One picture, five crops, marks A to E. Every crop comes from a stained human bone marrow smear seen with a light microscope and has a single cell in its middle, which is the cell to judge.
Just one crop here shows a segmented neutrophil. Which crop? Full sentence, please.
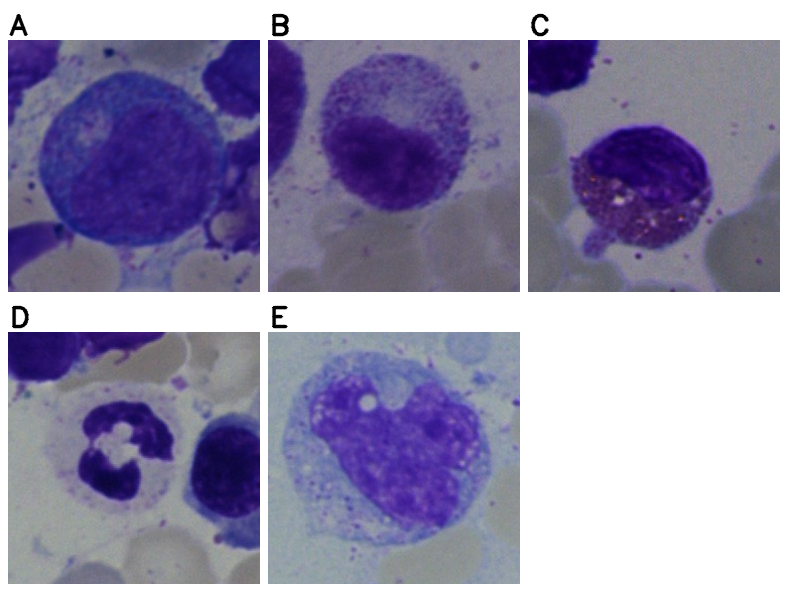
Crop D is the one in this set that shows a segmented neutrophil.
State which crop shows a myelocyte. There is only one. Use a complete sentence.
Crop B is the one to choose: it shows a myelocyte.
